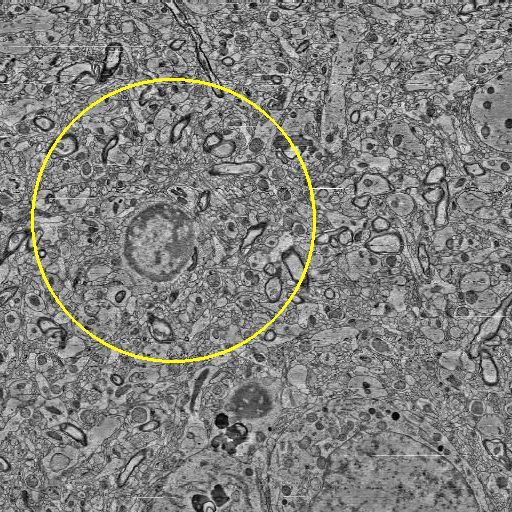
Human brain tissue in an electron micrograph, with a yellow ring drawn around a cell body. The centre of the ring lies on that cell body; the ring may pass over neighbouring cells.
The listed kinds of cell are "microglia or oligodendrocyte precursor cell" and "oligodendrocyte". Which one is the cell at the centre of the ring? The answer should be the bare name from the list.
oligodendrocyte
